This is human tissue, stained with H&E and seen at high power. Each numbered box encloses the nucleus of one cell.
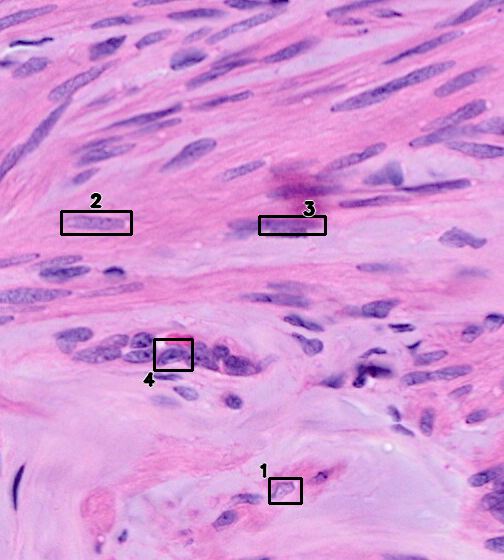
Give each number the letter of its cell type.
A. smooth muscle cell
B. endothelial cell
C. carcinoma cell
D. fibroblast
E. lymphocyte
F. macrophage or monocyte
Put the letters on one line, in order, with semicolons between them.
A; A; A; B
